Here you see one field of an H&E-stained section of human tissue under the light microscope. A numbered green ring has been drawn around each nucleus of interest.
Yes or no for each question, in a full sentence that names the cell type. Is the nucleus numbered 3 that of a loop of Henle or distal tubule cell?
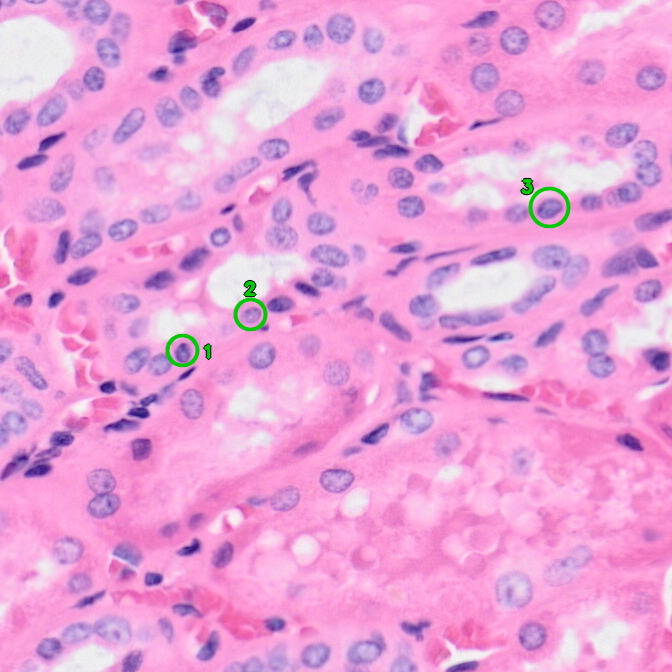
Yes, looking at number 3, that cell is a loop of Henle or distal tubule cell.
